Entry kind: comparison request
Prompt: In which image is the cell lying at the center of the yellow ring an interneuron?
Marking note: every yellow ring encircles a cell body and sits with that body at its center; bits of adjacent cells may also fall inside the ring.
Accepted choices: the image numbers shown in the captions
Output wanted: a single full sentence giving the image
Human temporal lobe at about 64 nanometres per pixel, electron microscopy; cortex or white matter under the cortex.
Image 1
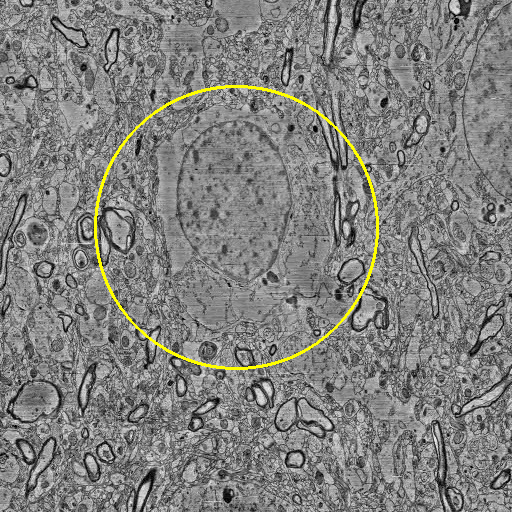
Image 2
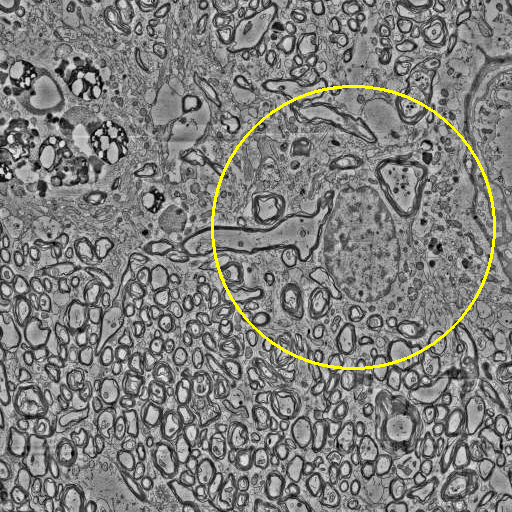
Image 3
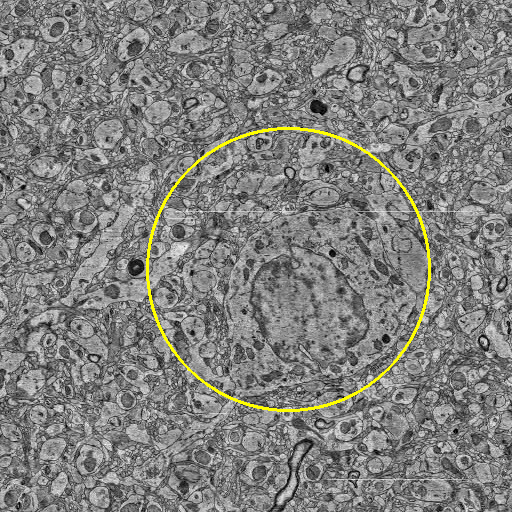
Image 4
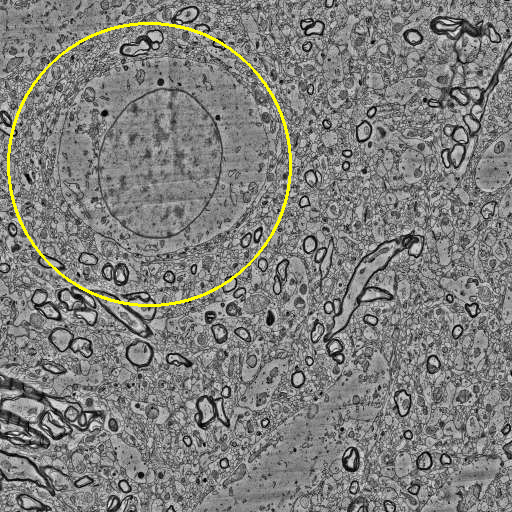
In image 3, the ringed cell at the center matches the prompt.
